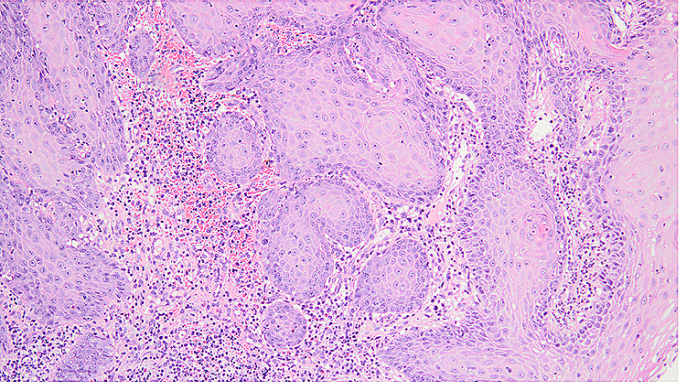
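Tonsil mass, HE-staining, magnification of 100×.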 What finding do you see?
Pseudoepitheliomatous hyperplasia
